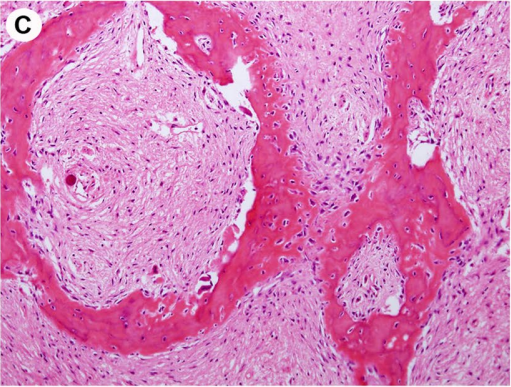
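This is bone with curved, irregular pink trabeculae of woven bone set in a cellular fibrous stroma. The trabeculae contain many closely spaced lacunae with small dark nuclei, and their outlines are bent and looping rather than straight. Between them lie bland spindle cells with slender oval nuclei in a pale pink background, in places arranged in whorls. The bone surfaces are not lined by a row of plump cells; the stromal cells run up directly against the bone.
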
